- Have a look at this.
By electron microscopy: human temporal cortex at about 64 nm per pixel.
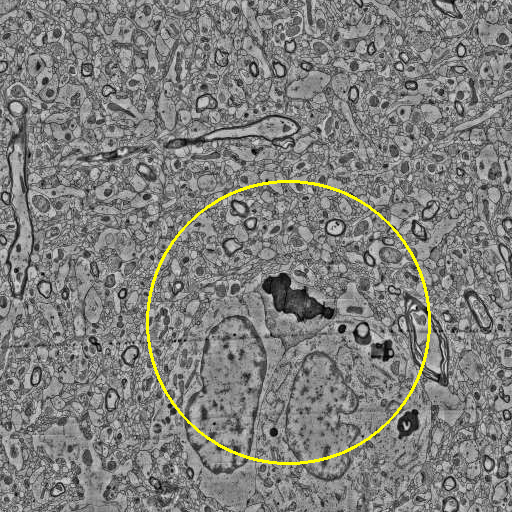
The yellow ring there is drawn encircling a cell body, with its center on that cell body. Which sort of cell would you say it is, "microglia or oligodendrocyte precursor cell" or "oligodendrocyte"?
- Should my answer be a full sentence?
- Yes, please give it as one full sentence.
For this picture, an oligodendrocyte is the cell where the yellow ring has its center.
